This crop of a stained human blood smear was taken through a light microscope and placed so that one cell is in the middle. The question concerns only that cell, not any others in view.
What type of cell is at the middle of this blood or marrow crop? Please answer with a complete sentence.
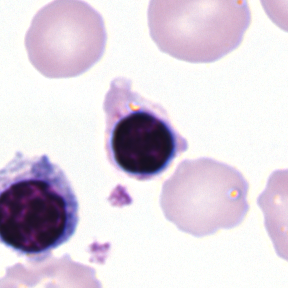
Positioned in the middle of the crop is an erythroblast.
